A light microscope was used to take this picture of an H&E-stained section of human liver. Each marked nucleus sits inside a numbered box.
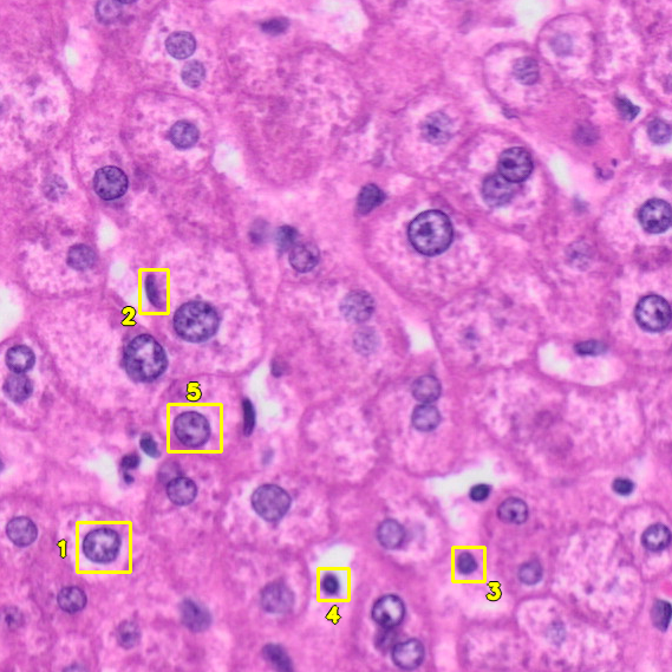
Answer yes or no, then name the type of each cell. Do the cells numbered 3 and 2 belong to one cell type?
No, that's off: cell 3 is a lymphocyte and cell 2 is an endothelial cell.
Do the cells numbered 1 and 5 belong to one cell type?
Yes, cells 1 and 5 are both hepatocytes in this section.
